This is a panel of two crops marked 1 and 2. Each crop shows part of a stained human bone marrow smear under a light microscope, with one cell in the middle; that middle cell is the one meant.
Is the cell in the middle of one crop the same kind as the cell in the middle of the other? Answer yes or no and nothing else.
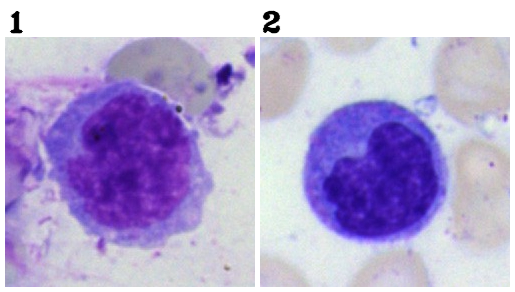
yes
